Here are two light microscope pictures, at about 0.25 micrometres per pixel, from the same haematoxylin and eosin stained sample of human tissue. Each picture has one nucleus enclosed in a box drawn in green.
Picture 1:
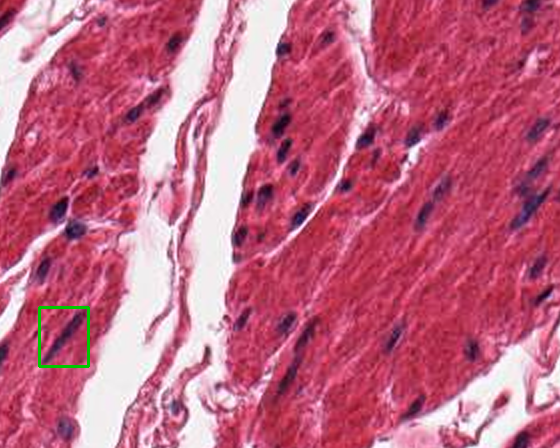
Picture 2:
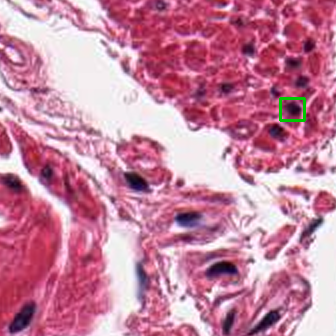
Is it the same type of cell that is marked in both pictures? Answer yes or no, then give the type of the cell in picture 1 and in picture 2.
Yes, both are smooth muscle cells.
